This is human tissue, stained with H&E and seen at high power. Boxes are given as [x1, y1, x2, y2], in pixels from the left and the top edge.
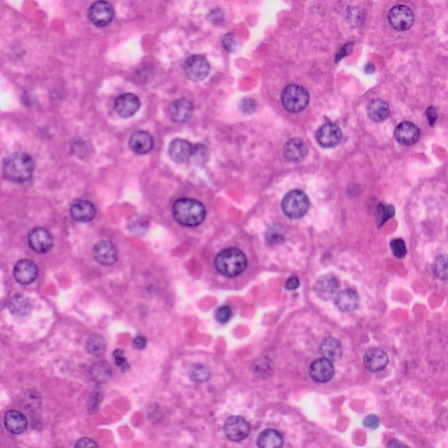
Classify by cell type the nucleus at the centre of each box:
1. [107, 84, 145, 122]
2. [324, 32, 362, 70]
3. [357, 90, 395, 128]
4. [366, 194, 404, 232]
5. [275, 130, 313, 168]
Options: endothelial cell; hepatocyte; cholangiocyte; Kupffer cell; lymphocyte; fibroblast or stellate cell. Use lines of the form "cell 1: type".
cell 1: hepatocyte
cell 2: endothelial cell
cell 3: hepatocyte
cell 4: endothelial cell
cell 5: hepatocyte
